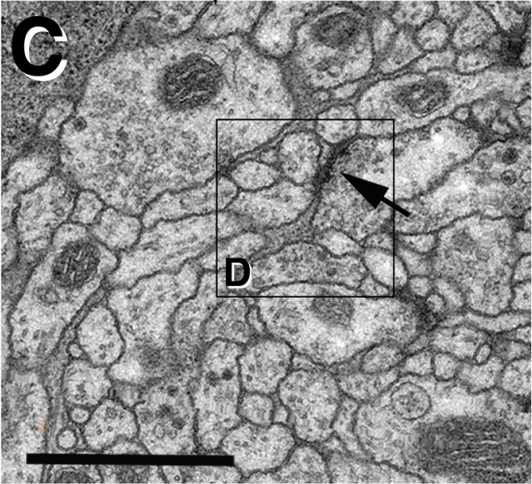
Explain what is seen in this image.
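This is a transmission electron micrograph of densely packed neuronal processes in the neuropile, each seen as a rounded or irregular pale profile outlined by a dark membrane. Several larger profiles contain mitochondria with visible cristae.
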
